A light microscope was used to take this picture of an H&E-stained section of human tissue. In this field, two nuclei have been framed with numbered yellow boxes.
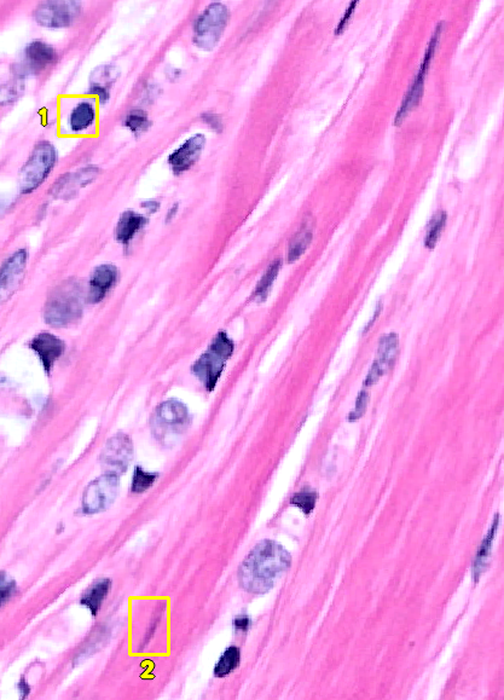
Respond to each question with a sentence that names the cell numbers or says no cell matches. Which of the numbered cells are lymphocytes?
It is cell 1, and no other numbered cell, that is a lymphocyte.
